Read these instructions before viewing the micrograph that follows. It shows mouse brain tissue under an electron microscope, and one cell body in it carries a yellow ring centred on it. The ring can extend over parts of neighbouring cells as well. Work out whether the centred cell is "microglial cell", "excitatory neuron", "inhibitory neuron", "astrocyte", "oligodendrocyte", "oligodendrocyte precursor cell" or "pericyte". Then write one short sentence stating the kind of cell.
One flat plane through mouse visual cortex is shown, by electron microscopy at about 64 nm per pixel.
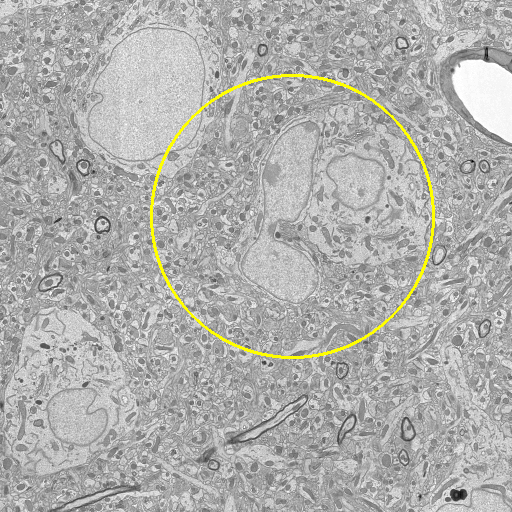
The ringed cell is an oligodendrocyte precursor cell.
